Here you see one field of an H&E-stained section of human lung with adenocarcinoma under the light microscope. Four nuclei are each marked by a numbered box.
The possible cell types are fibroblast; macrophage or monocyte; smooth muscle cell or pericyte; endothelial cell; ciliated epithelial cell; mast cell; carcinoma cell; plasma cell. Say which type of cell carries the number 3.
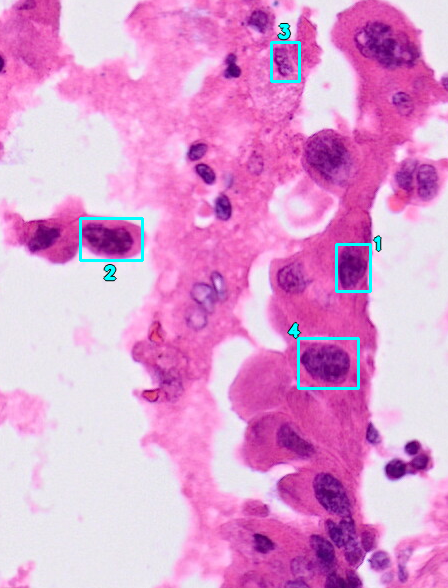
macrophage or monocyte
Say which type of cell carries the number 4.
carcinoma cell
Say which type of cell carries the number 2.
carcinoma cell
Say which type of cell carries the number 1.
carcinoma cell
